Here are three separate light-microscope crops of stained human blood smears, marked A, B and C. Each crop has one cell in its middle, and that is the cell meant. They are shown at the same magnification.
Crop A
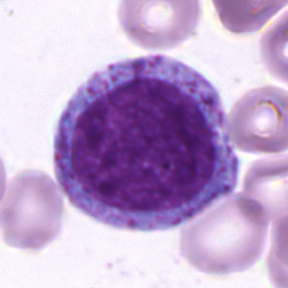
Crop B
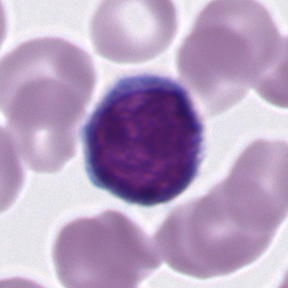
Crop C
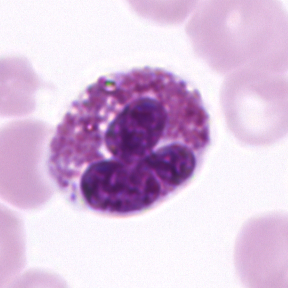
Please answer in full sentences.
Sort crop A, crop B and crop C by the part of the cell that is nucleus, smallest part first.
They run C, A, B, the least filled first.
